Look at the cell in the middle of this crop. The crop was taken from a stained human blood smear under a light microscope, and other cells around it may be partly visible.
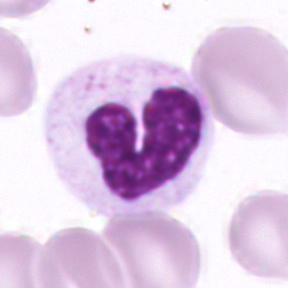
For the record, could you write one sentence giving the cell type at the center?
The identification for the central cell is a band neutrophil.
